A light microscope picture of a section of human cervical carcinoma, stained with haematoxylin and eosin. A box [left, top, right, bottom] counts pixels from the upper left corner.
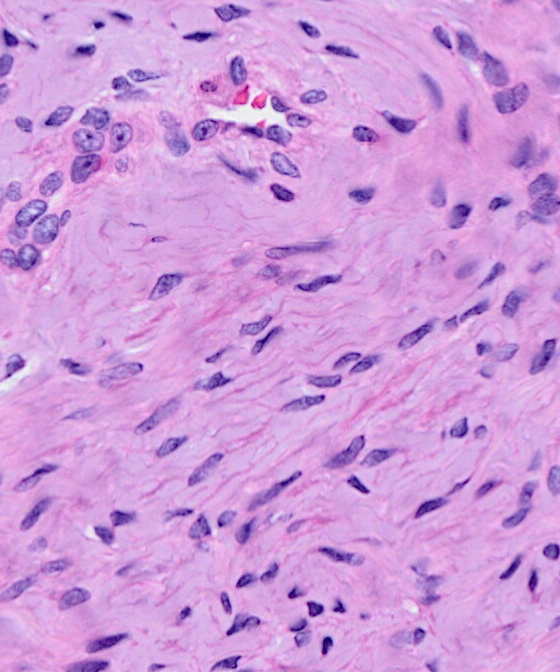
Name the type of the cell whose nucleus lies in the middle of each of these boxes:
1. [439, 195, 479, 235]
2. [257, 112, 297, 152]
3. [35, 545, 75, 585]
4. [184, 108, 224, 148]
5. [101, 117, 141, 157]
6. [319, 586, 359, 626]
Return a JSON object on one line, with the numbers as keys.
{"1": "fibroblast", "2": "endothelial cell", "3": "smooth muscle cell", "4": "endothelial cell", "5": "endothelial cell", "6": "fibroblast"}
